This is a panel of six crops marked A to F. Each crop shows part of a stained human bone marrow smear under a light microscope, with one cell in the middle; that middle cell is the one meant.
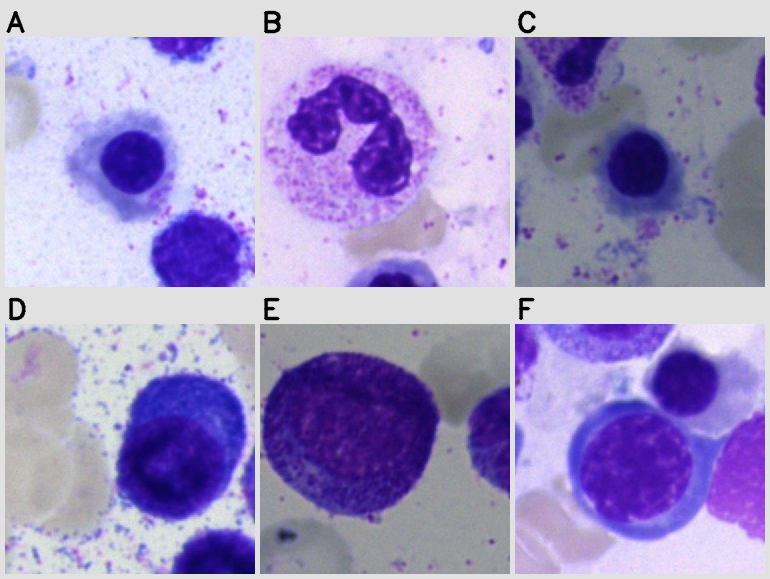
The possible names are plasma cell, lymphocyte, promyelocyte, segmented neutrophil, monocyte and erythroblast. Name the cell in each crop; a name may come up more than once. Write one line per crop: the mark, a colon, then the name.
A: erythroblast
B: segmented neutrophil
C: erythroblast
D: plasma cell
E: promyelocyte
F: erythroblast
